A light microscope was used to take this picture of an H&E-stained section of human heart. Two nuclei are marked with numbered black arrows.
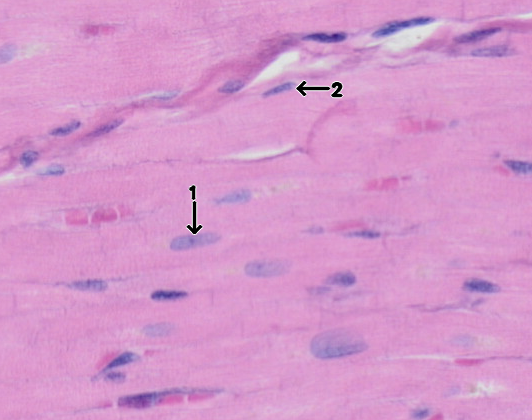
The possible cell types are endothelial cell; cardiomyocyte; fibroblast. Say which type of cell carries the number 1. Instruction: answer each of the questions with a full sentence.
The cell marked with the number 1 is a cardiomyocyte.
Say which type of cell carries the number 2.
The cell that carries the label 2 is a fibroblast.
